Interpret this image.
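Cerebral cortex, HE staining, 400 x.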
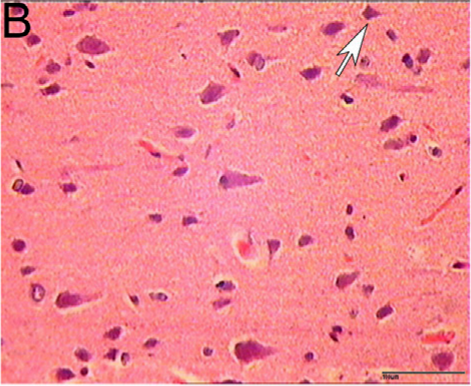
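In a pink neuropil the cell bodies are shrunken, angular or triangular, and stained dark purple throughout, so no pale nucleus or nucleolus can be made out in most of them. Some are surrounded by small clear spaces, and the overall picture is of cortical cells with condensed, pyknotic nuclei.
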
